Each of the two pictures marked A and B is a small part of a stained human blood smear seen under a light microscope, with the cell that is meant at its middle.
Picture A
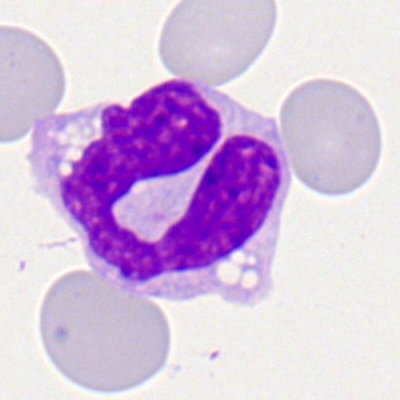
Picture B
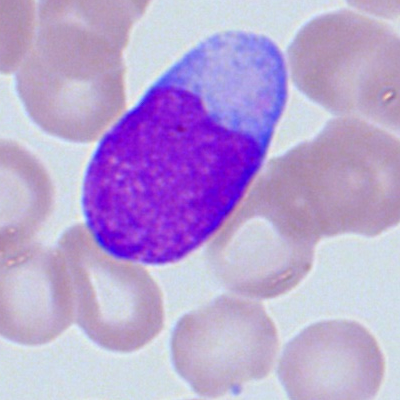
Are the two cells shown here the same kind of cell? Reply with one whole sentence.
No, they differ: the cell is a monocyte in picture A and a myeloblast in picture B.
